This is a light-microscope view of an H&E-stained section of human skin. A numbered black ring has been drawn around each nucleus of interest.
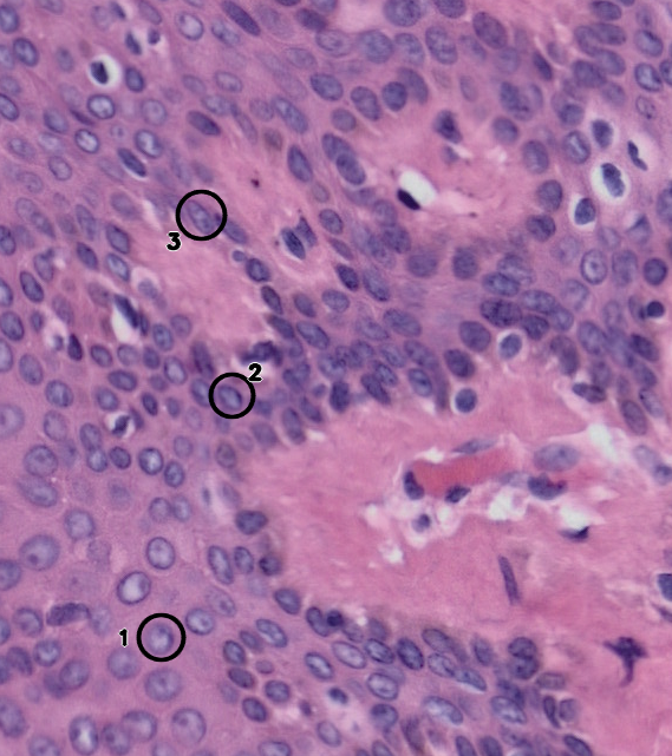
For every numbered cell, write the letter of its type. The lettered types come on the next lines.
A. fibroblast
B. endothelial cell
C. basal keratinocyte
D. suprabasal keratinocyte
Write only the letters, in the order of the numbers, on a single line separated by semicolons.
D; C; C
